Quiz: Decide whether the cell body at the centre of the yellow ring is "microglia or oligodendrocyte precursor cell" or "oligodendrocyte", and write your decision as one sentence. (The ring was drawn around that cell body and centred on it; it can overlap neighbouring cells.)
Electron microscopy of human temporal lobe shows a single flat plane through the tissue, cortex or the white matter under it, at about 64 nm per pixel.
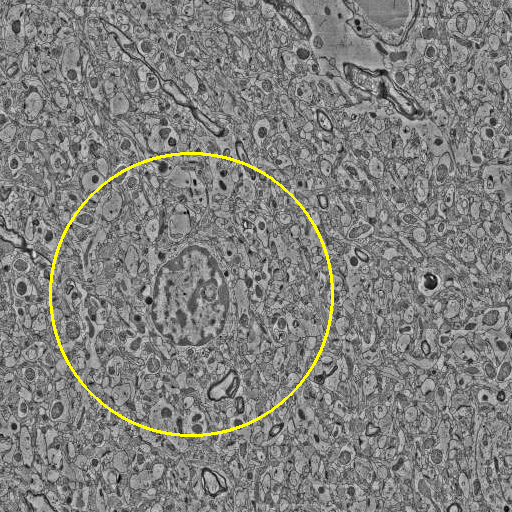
The cell the ring is centred on is a microglial cell or oligodendrocyte precursor cell.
